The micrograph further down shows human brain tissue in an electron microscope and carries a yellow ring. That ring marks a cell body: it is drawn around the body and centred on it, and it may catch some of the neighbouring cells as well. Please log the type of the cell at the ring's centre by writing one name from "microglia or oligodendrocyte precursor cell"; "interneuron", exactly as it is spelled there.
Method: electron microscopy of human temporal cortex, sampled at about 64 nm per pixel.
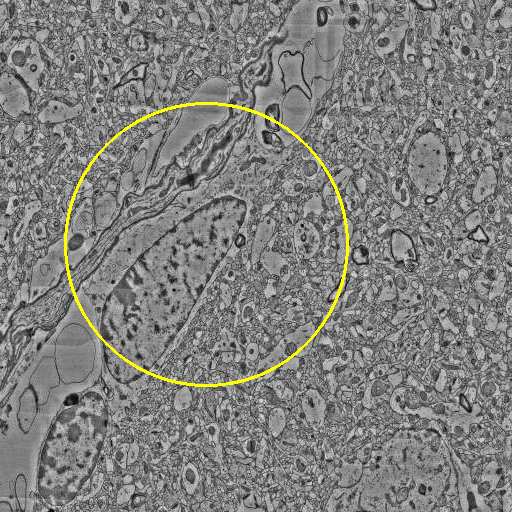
microglia or oligodendrocyte precursor cell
